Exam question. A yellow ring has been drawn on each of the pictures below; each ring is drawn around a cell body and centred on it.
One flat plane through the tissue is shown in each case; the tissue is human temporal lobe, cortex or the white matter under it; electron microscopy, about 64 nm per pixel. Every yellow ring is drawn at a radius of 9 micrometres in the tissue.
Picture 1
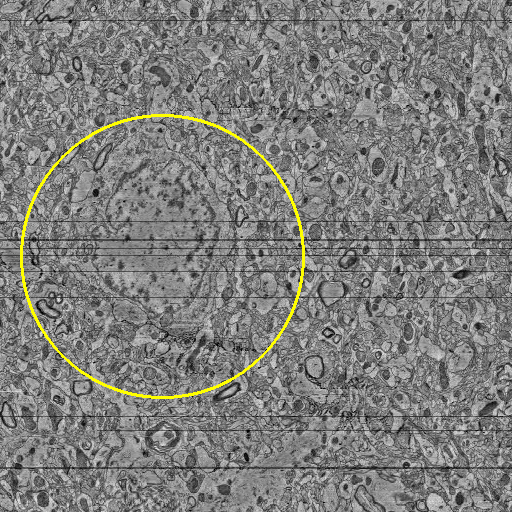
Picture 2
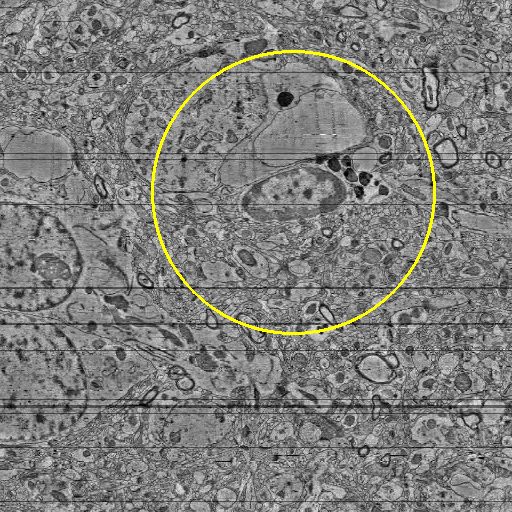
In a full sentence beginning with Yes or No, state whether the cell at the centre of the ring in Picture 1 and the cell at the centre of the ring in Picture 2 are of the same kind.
No, the cells are of two kinds.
